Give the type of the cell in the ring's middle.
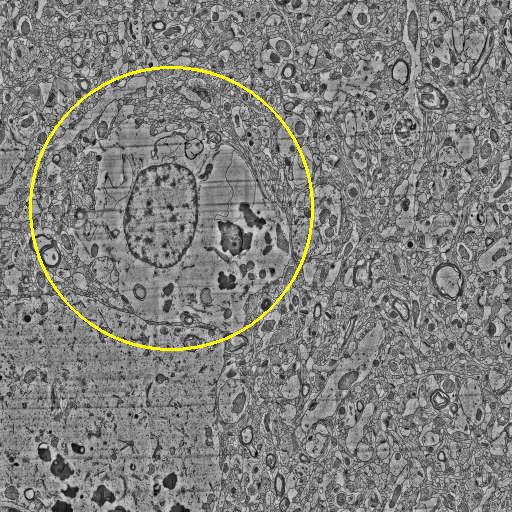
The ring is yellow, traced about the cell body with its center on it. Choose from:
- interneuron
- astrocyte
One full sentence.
Here, an astrocyte is the cell lying at the center of the yellow ring.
